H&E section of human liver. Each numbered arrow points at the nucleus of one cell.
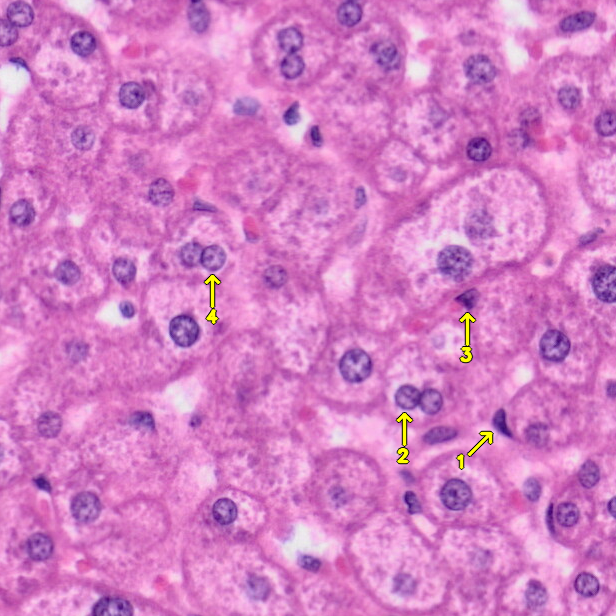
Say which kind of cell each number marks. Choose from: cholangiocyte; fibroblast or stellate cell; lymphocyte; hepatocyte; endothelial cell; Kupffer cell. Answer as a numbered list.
1. fibroblast or stellate cell
2. hepatocyte
3. endothelial cell
4. hepatocyte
